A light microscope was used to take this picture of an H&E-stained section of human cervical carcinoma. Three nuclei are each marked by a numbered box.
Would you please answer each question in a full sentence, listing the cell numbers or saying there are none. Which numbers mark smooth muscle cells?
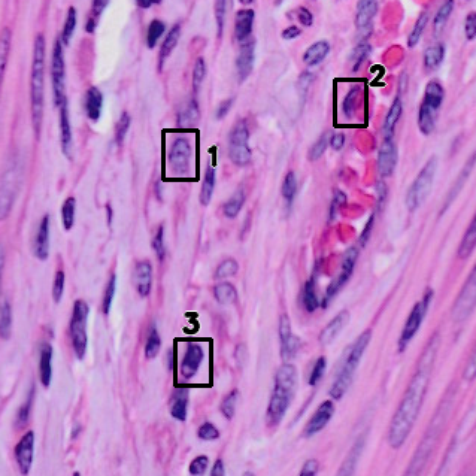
Mind that only cell 1 is a smooth muscle cell, none of the rest.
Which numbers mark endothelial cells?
Cell 2 is an endothelial cell, and it is the only numbered cell that is.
